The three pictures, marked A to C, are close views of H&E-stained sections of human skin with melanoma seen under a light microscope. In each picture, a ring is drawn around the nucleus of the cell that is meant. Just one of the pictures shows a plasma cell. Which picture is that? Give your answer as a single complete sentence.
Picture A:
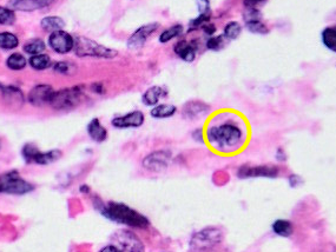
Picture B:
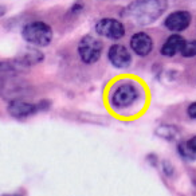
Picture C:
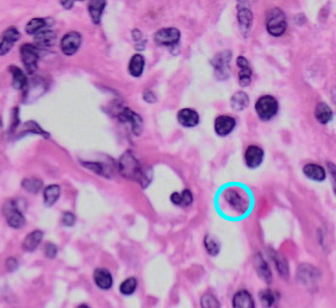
The cell in picture B is the plasma cell.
